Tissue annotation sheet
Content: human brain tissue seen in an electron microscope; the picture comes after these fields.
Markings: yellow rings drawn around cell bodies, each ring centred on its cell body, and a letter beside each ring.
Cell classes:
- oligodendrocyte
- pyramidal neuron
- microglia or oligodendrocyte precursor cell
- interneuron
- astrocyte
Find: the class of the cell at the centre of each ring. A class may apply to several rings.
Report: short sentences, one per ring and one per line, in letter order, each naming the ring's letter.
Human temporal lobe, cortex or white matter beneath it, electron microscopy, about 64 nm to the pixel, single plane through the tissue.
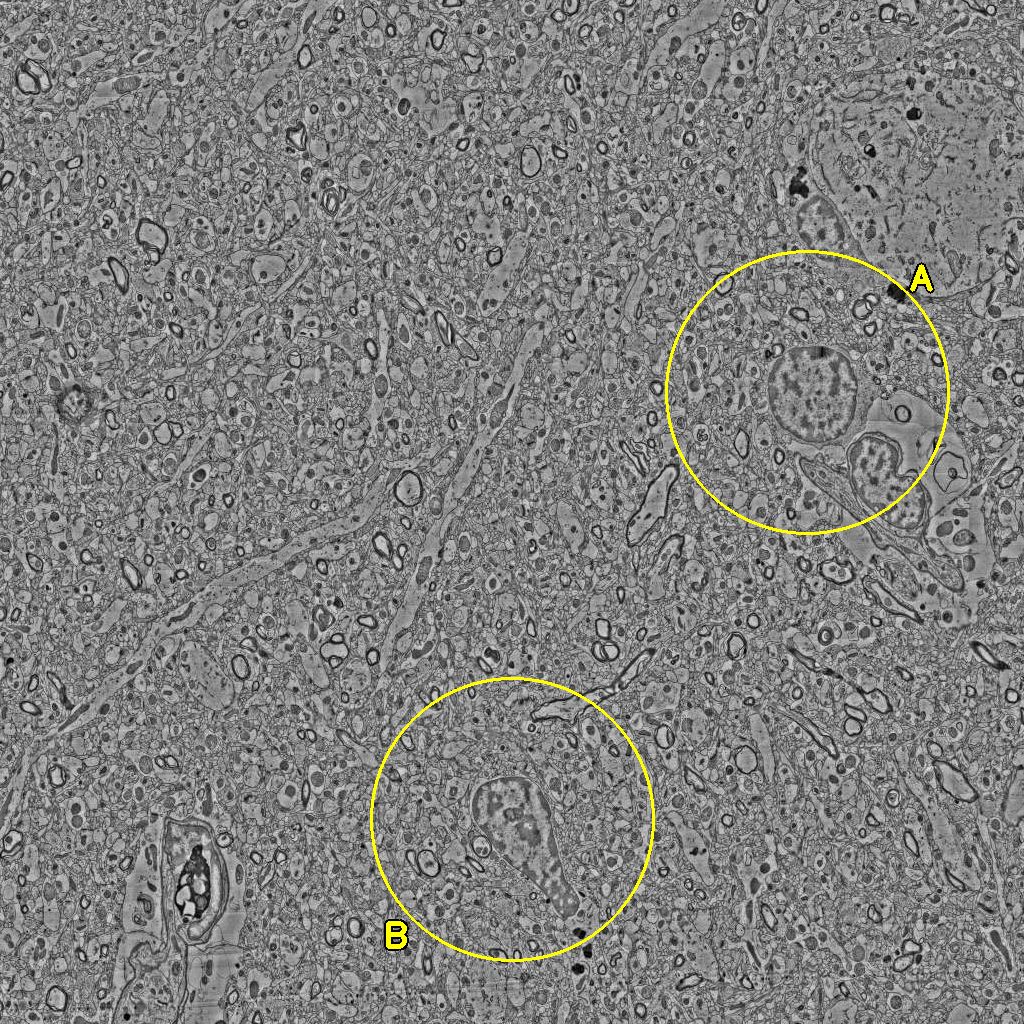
Ring A holds an oligodendrocyte at its centre.
Ring B holds a microglial cell or oligodendrocyte precursor cell at its centre.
